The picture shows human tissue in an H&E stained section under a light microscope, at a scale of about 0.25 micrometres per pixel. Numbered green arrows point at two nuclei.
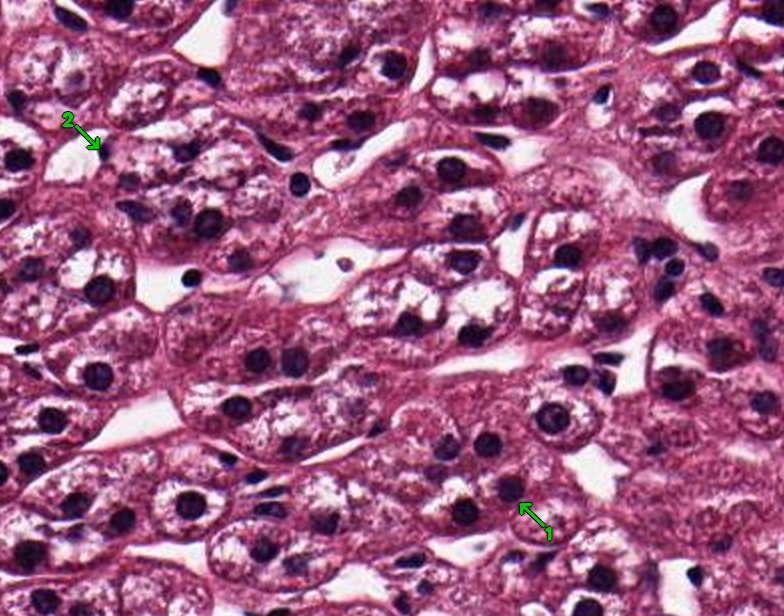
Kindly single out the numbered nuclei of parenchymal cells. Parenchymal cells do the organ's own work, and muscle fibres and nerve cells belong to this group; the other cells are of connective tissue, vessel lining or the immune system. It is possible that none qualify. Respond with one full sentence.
All marked nuclei except nucleus 1 lie outside parenchymal cells.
